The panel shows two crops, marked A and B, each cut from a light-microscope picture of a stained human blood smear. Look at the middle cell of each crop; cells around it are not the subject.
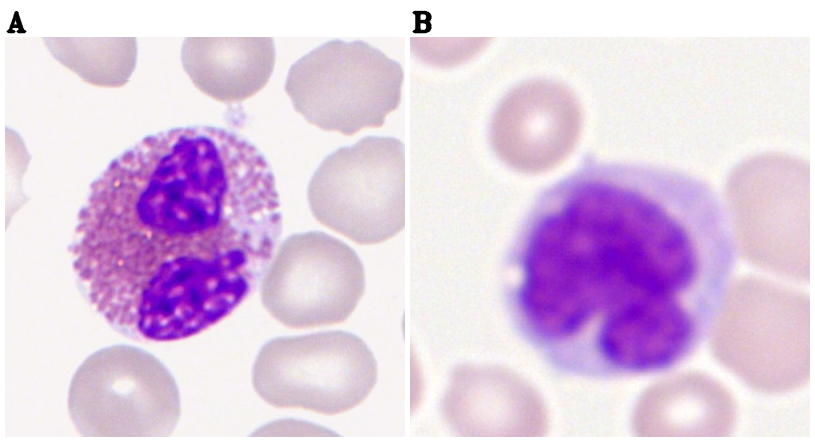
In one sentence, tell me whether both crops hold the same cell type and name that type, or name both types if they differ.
No, enter an eosinophil for crop A and a monocyte for crop B.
